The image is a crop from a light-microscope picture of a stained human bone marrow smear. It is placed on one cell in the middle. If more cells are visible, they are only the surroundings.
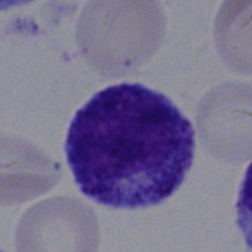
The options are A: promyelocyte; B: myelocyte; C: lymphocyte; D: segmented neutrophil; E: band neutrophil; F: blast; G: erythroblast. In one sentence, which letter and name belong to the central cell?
The cell placed in the middle is a promyelocyte; option A is correct.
